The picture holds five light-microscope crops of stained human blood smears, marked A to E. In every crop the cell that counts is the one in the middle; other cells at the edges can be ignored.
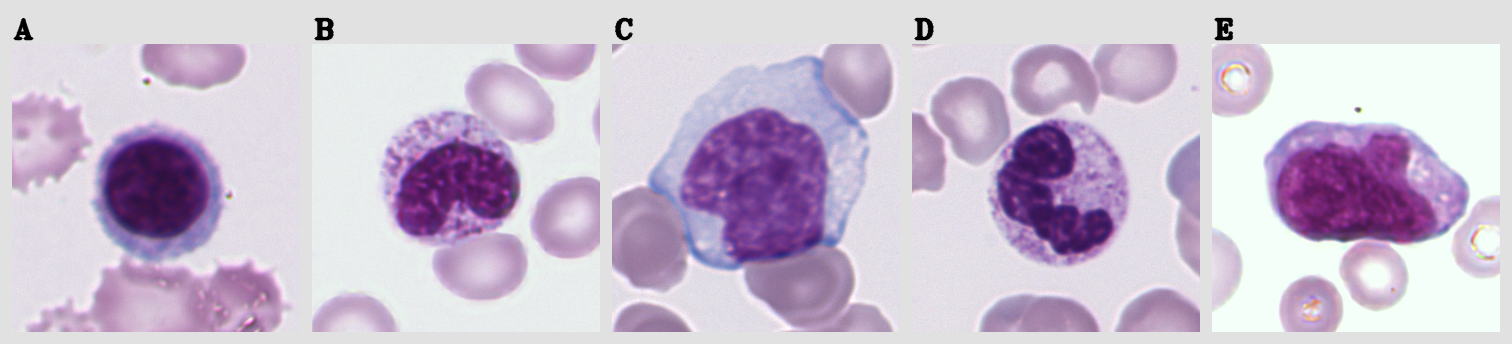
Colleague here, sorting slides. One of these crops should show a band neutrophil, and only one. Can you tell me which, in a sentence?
The crop in which a band neutrophil is shown is crop B.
